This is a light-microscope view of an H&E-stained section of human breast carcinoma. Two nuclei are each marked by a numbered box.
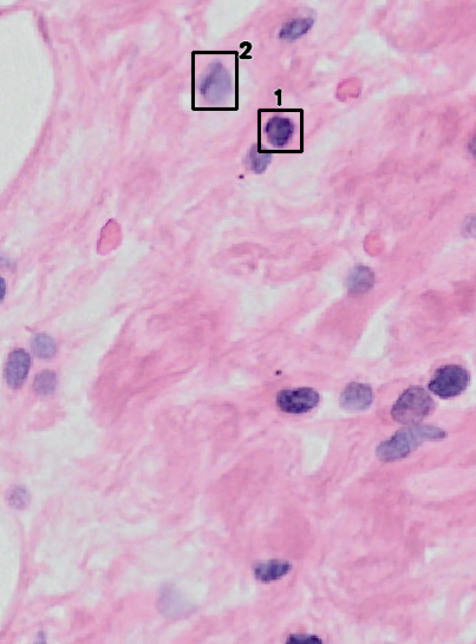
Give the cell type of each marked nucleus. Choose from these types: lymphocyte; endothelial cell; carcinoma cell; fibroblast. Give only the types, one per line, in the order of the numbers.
lymphocyte
fibroblast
